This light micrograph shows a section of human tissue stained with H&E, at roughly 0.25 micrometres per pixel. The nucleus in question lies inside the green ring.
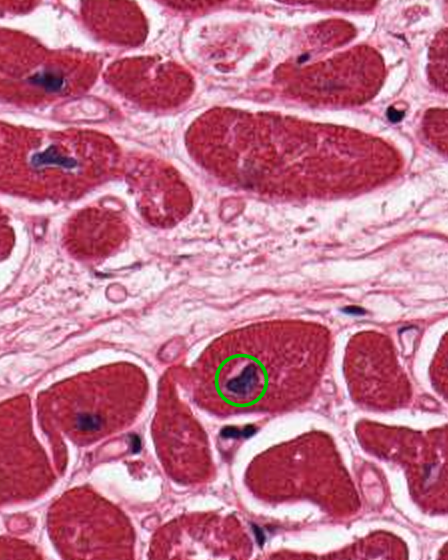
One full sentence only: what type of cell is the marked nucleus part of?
The marked nucleus is a nucleus of a cardiomyocyte.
